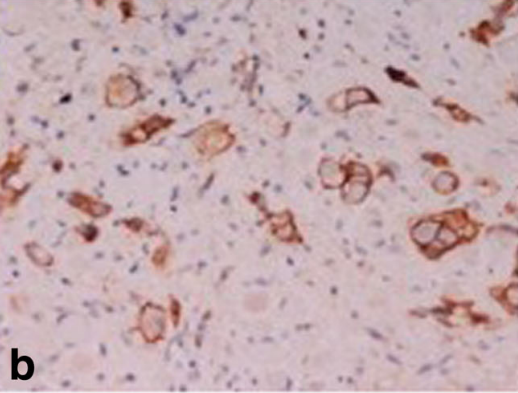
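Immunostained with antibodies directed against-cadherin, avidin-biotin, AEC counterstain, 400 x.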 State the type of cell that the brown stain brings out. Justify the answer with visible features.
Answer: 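Large rounded and angular cells have brown rims outlining their membranes. The brown-rimmed cells lie scattered singly and in small clusters in a pale stroma with small blue nuclei. So: tumor cells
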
